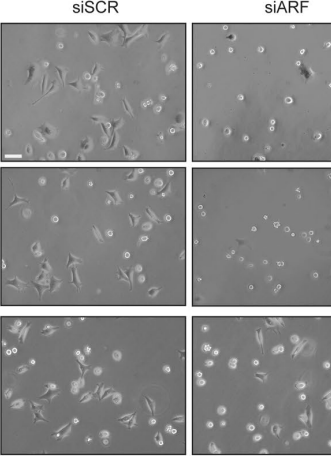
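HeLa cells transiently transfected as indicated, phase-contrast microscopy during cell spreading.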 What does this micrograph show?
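Some cells are small, round and bright-edged with a halo, as cells look before they flatten. Others have flattened out into polygonal or spindle shapes with thin extensions and a visible central nucleus.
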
